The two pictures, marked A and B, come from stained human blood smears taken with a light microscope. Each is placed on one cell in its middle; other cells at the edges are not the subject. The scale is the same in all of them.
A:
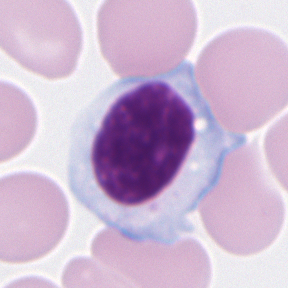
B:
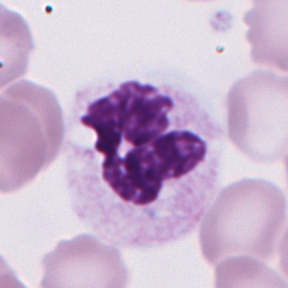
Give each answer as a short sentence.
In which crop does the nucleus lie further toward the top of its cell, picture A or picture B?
Seen within its cell, the nucleus in picture B lies further toward the top.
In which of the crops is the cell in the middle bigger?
It is the cell in picture B, about 1.5 times as large in area as the cell in picture A.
